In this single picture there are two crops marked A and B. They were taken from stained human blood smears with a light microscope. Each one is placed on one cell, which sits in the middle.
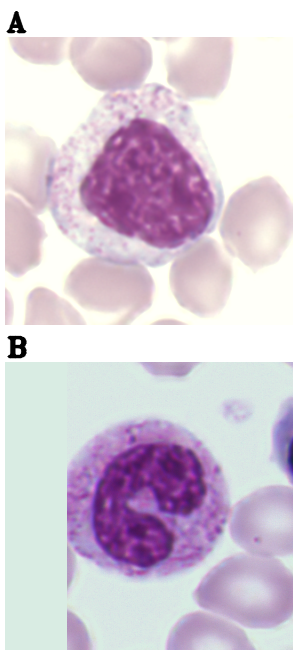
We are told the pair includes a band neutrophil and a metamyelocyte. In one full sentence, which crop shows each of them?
Crops A and B are, respectively, a metamyelocyte and a band neutrophil.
